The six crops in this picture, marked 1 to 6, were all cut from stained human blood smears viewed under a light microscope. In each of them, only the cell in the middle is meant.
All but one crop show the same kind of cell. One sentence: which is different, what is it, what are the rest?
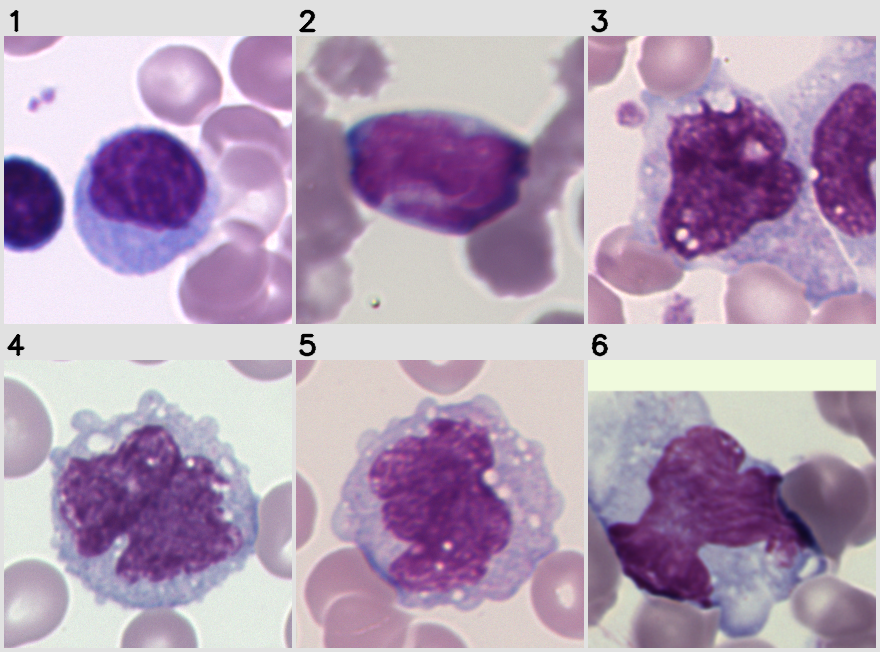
Apart from crop 2, a myeloblast, the crops all show monocytes.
